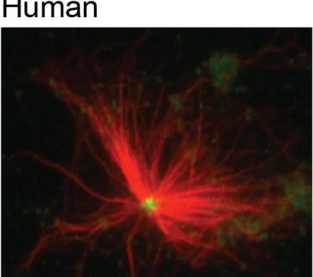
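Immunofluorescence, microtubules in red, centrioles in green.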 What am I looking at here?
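A small bright green spot lies exactly at the centre where the filaments converge. The filaments are densest near the centre and spread and thin out towards the edges of the image. Scattered faint green specks lie in the surrounding background.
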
